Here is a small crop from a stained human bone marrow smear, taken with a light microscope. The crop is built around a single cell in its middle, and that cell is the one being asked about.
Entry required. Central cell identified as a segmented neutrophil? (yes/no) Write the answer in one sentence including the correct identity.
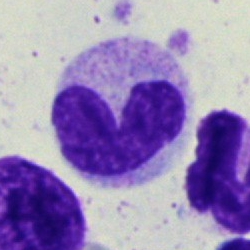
No, the middle cell is classified as a band neutrophil instead of a segmented neutrophil.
